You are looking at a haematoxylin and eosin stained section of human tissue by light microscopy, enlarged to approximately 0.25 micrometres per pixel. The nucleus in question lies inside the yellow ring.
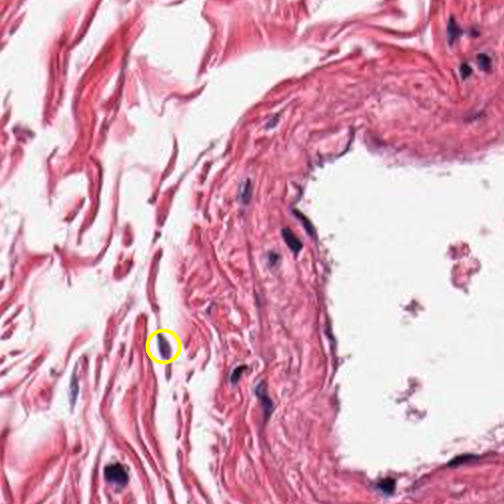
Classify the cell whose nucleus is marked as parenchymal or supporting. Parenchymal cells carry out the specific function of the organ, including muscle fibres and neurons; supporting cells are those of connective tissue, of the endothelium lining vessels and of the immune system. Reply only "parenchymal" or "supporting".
supporting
